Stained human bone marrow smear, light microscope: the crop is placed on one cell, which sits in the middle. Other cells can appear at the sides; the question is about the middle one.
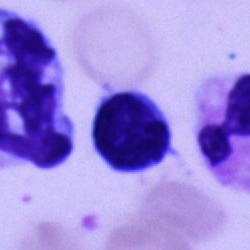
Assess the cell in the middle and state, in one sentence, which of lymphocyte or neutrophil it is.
In the middle of this smear crop, the cell is a lymphocyte.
